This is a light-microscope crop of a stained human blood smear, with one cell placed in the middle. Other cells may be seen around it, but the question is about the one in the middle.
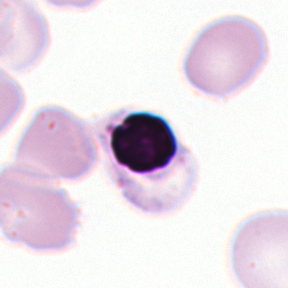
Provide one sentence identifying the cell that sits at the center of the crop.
The cell at the heart of this crop is a normoblast.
